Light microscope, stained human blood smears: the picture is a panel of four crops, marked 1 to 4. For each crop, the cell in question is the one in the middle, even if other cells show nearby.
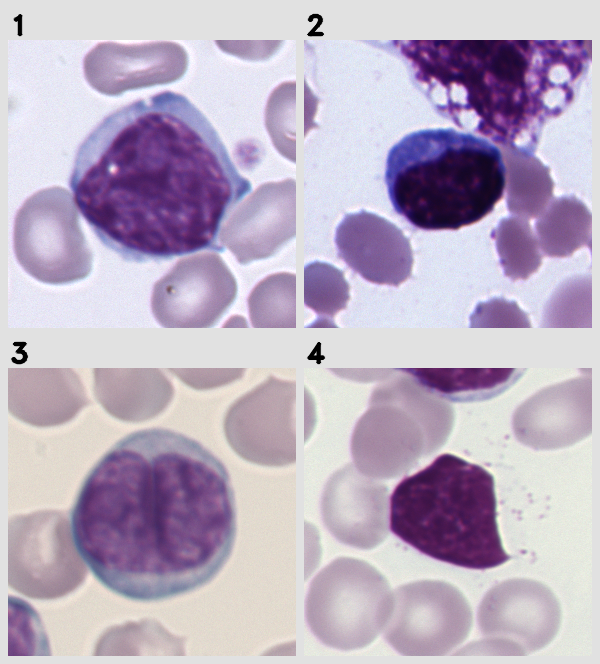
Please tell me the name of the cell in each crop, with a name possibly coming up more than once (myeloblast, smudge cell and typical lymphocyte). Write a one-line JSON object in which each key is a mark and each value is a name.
{"1": "myeloblast", "2": "typical lymphocyte", "3": "myeloblast", "4": "smudge cell"}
